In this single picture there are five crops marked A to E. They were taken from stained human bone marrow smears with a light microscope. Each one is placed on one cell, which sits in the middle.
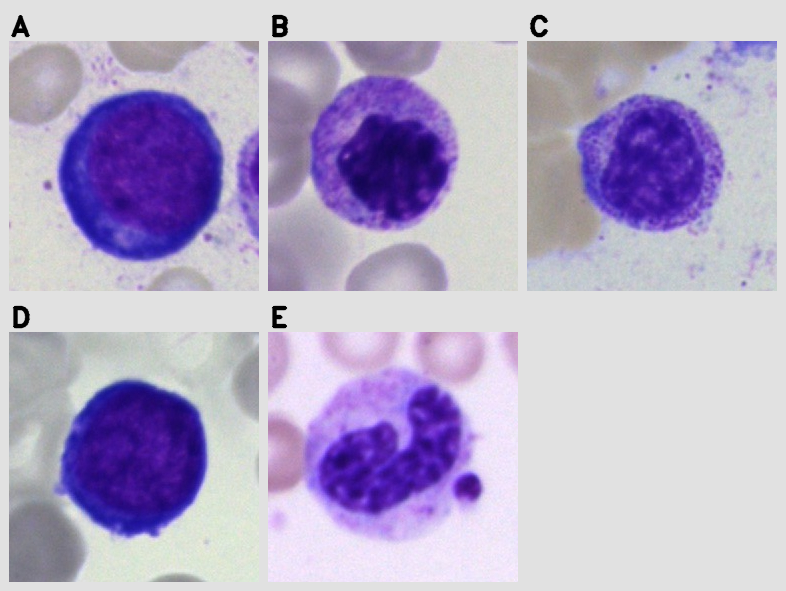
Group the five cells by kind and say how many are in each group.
proerythroblast: 2
myelocyte: 2
band neutrophil: 1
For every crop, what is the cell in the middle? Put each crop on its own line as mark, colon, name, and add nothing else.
A: proerythroblast
B: myelocyte
C: myelocyte
D: proerythroblast
E: band neutrophil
